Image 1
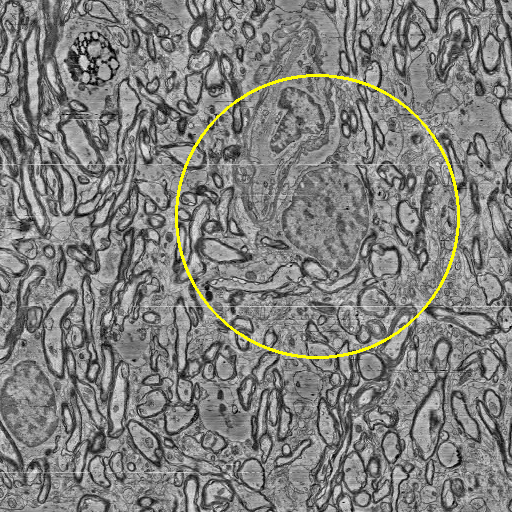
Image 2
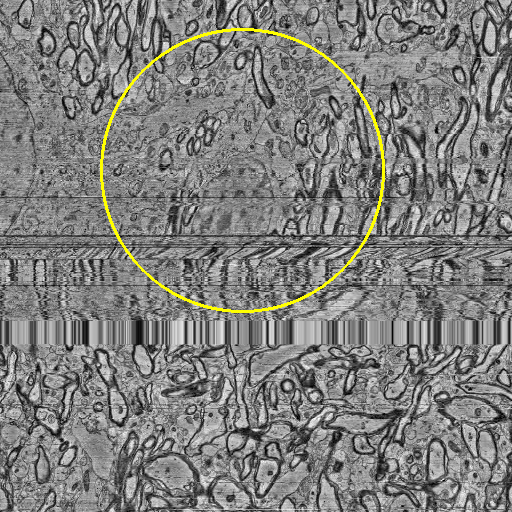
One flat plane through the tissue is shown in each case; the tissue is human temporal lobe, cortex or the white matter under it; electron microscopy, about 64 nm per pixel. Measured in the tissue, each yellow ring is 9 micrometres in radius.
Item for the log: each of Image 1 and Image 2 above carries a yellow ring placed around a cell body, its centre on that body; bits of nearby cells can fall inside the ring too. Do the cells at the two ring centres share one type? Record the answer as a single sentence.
Yes, the two cells at the ring centres in Image 1 and Image 2 share one type.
